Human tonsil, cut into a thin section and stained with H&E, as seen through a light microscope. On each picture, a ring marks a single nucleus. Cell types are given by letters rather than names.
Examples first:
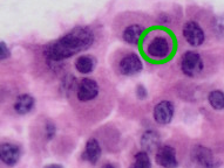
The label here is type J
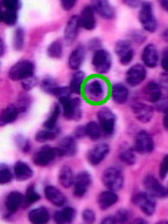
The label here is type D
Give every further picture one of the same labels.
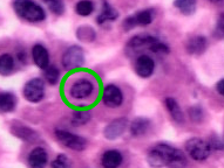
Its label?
type J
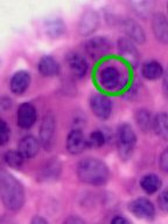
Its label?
type J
